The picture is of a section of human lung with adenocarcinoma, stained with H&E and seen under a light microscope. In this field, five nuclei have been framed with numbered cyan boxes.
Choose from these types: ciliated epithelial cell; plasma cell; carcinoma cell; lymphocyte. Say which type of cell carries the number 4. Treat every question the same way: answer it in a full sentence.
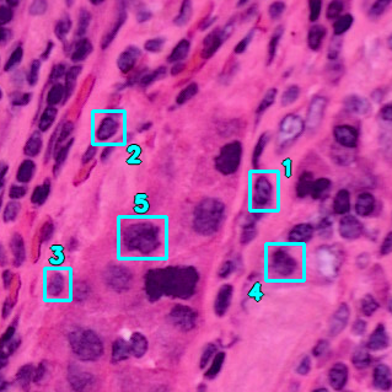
The cell whose nucleus carries the number 4 is a plasma cell.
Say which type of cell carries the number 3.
The cell given label 3 is a lymphocyte.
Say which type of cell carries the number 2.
Regarding cell 2, this one is a lymphocyte.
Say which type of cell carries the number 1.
Numbered cell 1 is a lymphocyte in this tissue section.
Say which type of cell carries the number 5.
What the number 5 marks in this field is a carcinoma cell.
